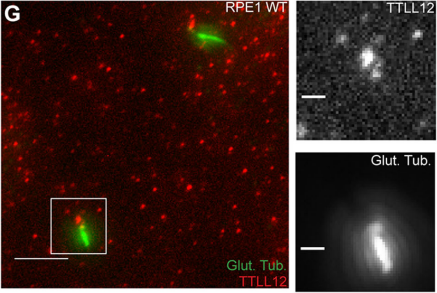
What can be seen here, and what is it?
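Numerous small red dots are scattered across the field. Within the boxed region, red dots cluster at one end of the green rod, at the base of the cilium.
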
